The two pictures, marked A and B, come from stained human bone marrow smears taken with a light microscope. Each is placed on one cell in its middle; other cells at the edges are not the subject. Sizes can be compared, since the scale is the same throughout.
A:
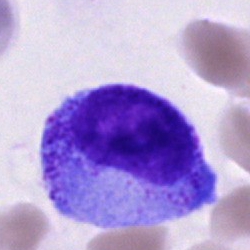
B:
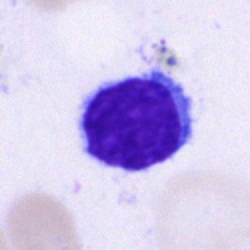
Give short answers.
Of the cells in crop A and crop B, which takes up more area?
A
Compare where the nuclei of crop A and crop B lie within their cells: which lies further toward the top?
A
